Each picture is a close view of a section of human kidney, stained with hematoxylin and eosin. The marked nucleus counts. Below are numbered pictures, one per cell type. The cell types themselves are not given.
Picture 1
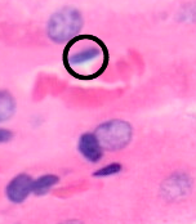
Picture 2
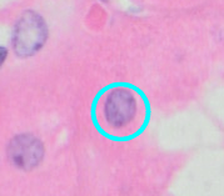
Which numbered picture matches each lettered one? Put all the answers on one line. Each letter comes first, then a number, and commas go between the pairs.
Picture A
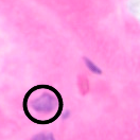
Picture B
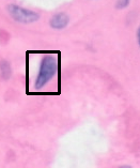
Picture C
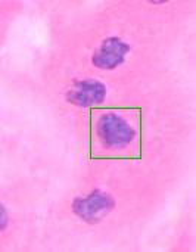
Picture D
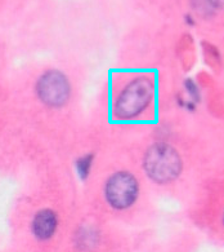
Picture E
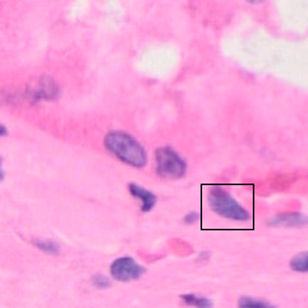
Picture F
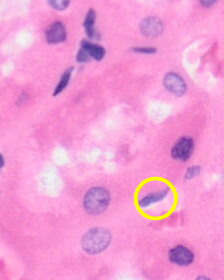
A 2, B 1, C 2, D 2, E 1, F 1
